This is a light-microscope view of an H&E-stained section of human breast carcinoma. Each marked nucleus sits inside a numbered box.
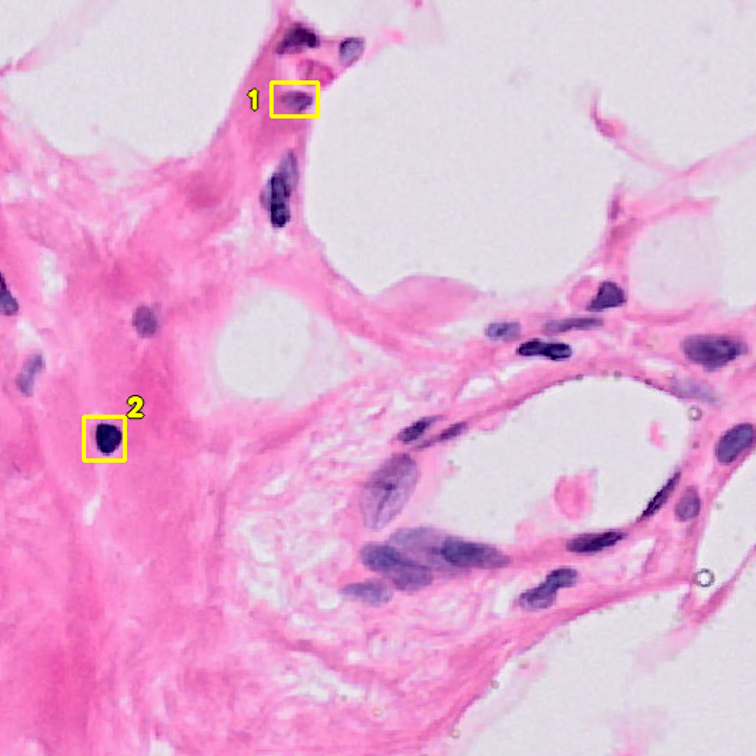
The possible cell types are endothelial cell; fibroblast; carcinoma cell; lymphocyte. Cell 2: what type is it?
lymphocyte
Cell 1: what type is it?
endothelial cell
